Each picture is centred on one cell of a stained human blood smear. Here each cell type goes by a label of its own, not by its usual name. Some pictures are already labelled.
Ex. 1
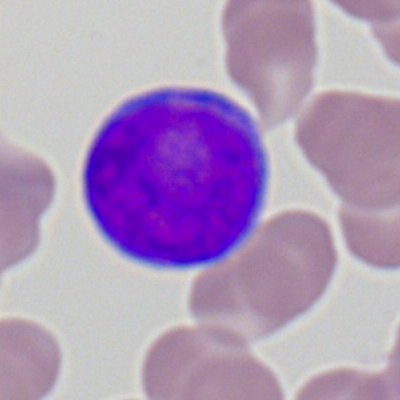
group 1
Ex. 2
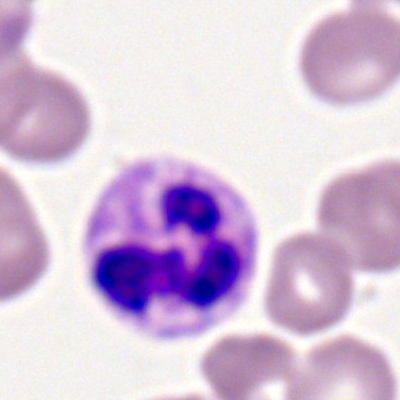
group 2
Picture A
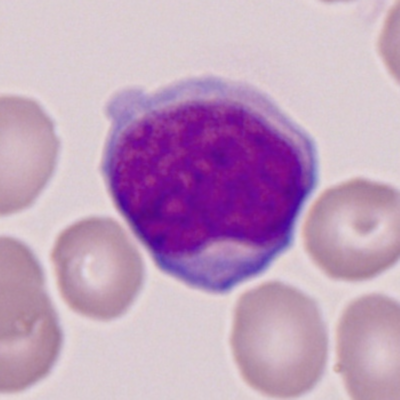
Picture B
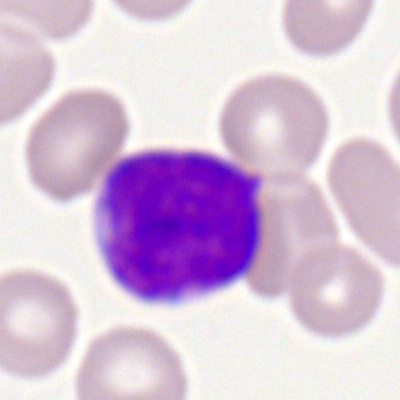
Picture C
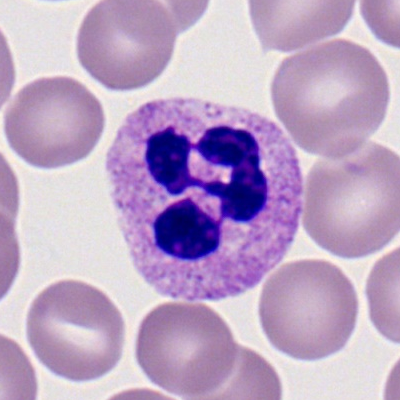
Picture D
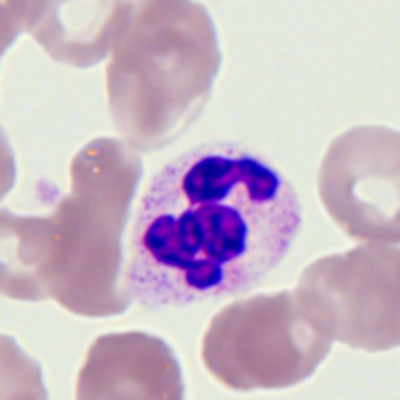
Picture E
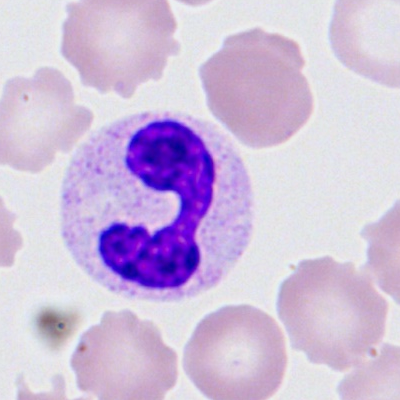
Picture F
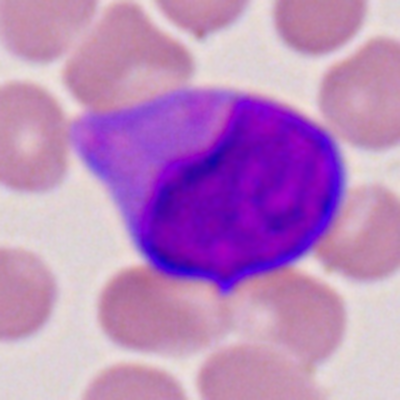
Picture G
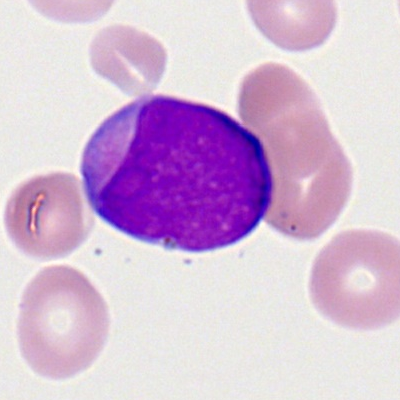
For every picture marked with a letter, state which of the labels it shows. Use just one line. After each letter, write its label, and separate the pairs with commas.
A group 1, B group 1, C group 2, D group 2, E group 2, F group 1, G group 1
